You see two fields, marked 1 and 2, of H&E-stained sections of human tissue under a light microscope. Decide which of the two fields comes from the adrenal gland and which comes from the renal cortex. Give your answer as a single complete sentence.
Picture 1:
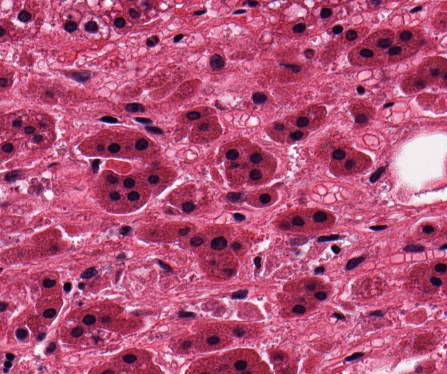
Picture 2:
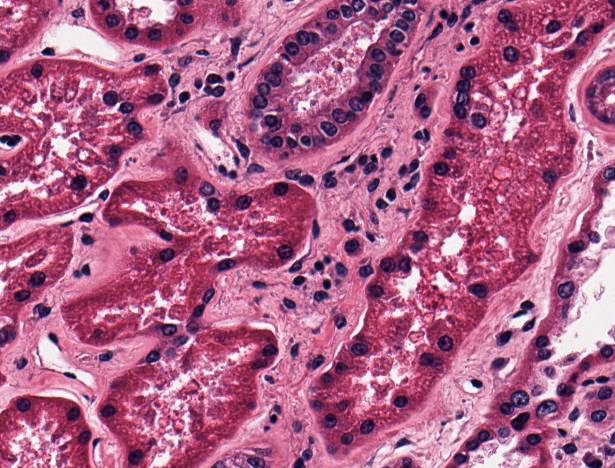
Picture 1 comes from the adrenal gland; picture 2 comes from the renal cortex.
